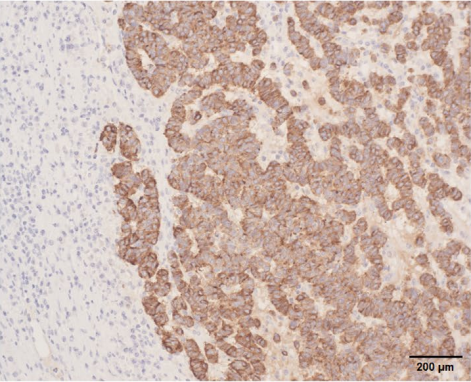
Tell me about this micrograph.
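Tumor cells fill the right part of the field and are strongly stained brown, while the loose stromal tissue on the left stays unstained with only blue nuclei. The brown stain outlines each tumor cell and fills its cytoplasm, giving the nests a cobblestone look. The tumor cells lie in tightly packed nests and cords separated by paler strands of stroma. The border between the stained tumor and the unstained tissue on the left is sharp.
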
